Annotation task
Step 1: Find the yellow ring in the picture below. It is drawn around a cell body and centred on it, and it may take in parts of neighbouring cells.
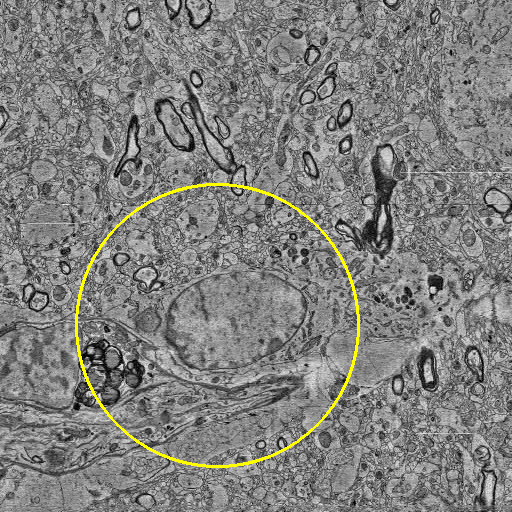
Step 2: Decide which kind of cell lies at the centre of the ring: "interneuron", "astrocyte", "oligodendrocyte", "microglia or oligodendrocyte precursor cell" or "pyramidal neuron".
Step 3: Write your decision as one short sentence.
The kind of cell at the ring's centre is a microglial cell or oligodendrocyte precursor cell.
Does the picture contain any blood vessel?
Yes, a blood vessel is present in this picture.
